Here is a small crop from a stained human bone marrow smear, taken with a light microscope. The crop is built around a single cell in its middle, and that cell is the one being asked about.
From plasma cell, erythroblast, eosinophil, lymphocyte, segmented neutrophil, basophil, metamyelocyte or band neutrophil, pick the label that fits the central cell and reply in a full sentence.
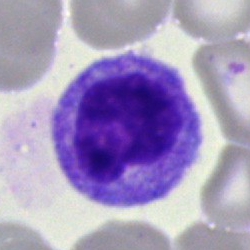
The crop centres on a single cell, and that cell is a metamyelocyte.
